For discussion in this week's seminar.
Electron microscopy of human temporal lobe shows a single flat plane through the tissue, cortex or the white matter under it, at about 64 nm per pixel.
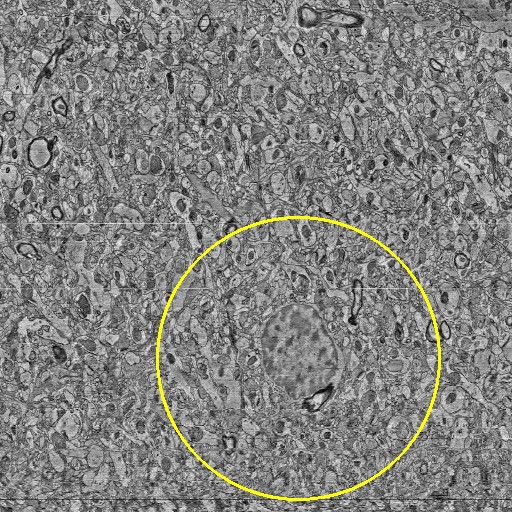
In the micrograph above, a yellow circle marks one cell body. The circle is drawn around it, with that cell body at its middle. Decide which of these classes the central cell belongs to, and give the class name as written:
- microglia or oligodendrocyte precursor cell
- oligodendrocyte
oligodendrocyte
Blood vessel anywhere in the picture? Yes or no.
No.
